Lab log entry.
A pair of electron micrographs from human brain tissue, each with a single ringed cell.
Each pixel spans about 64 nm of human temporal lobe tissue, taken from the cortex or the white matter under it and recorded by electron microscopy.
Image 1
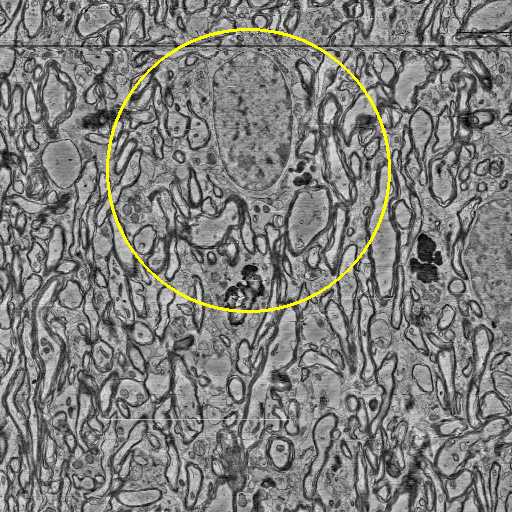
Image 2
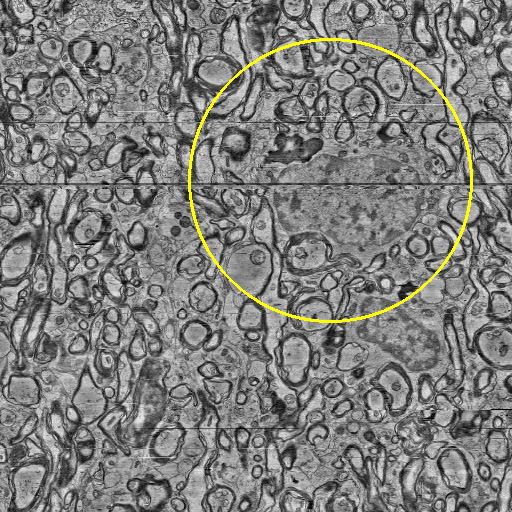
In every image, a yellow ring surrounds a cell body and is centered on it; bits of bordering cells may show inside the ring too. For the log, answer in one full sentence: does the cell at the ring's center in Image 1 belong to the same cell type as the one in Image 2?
No, the cells at the ring centers in Image 1 and Image 2 are of separate types.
